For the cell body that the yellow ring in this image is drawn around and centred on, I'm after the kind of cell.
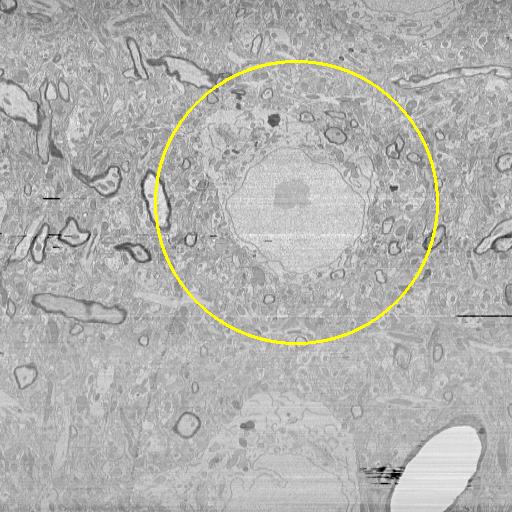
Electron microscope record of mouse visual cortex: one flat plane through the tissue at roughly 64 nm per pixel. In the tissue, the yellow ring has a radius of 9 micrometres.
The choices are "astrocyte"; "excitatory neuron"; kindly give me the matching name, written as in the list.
excitatory neuron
